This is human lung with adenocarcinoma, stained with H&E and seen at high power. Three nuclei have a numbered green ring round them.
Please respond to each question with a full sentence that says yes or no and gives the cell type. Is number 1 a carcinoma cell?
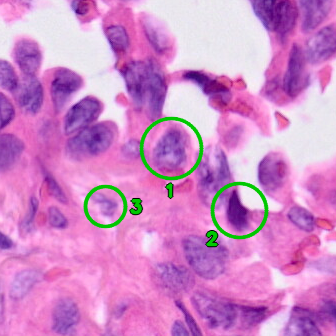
Yes, it is a carcinoma cell that carries the number 1.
